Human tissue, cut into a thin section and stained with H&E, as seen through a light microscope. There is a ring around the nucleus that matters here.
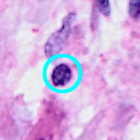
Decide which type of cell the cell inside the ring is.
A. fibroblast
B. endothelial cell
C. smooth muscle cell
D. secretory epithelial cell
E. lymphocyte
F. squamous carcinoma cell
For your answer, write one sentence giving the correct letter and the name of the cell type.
Option E holds, since the cell inside the ring is a lymphocyte.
